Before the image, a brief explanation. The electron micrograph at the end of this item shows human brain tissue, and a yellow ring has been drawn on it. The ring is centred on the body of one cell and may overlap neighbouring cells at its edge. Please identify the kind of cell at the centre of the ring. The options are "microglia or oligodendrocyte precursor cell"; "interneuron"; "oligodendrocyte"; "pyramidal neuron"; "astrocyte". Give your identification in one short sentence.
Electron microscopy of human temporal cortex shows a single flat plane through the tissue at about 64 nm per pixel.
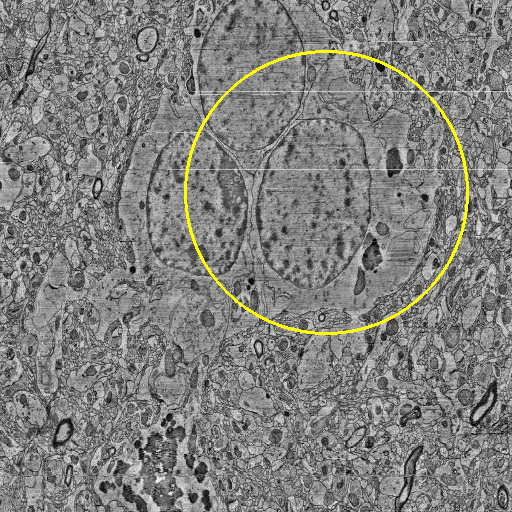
The ring has been placed around an astrocyte.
